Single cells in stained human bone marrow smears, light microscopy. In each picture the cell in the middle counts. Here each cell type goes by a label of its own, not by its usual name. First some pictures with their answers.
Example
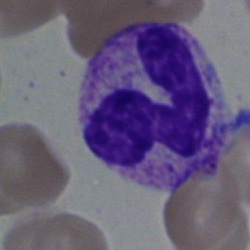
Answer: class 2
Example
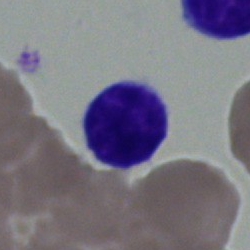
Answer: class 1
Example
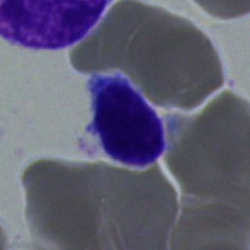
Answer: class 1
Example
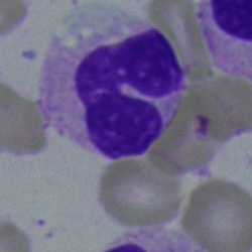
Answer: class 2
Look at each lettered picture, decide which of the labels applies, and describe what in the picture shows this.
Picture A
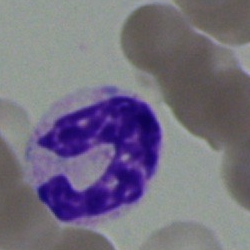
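Label: class 2. The nucleus is a curved C-shaped band whose opening faces left.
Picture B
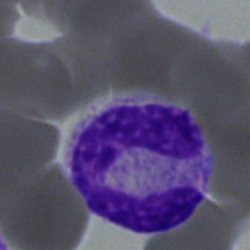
Label: class 2. The nucleus forms a thick curved band that wraps around a pale central zone.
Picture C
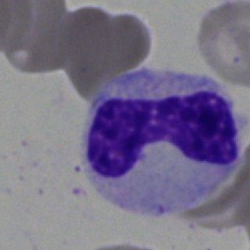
Label: class 2. The nucleus is a curved band with a notch on its lower side.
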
